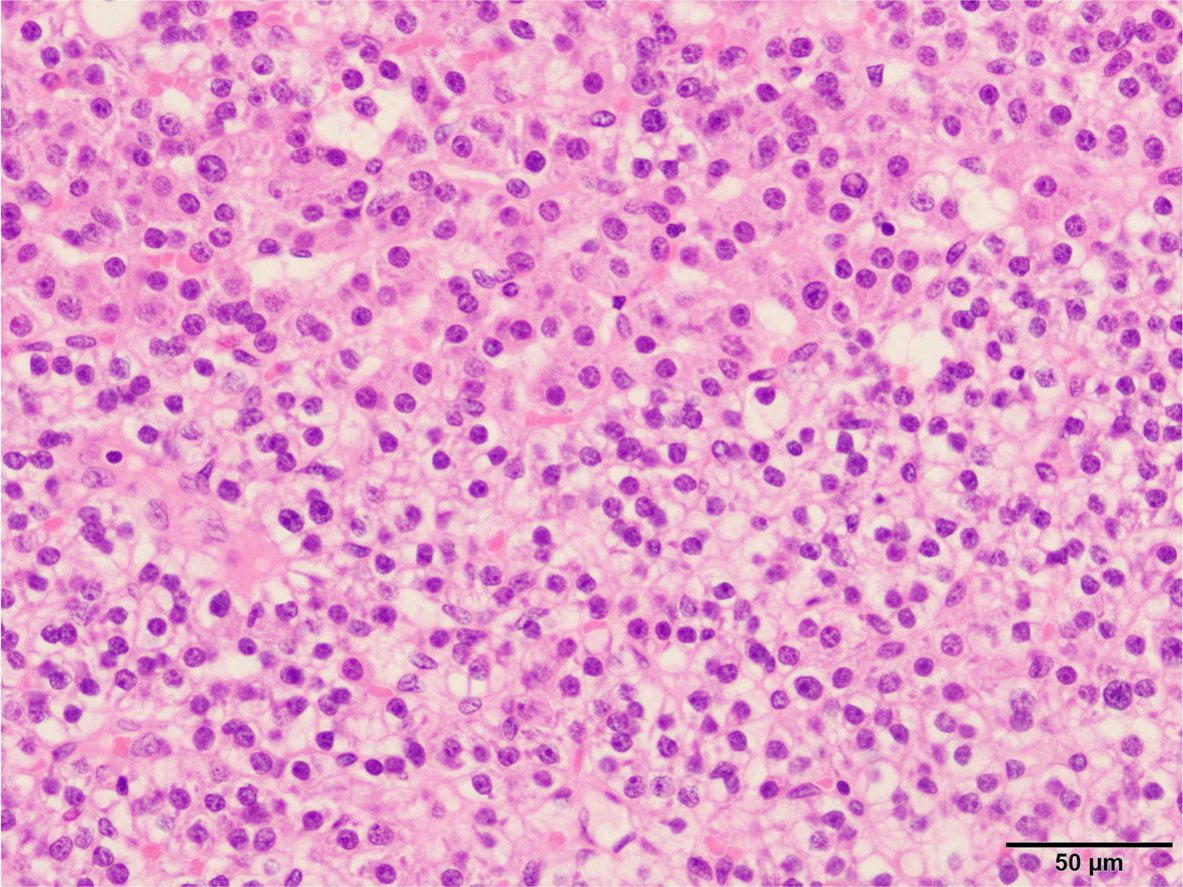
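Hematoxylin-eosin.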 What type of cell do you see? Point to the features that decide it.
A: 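Most cells have clear or pale vacuolated cytoplasm and round central nuclei. Some groups of cells have more pink granular cytoplasm.
Answer: chief and eosinophilic cells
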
